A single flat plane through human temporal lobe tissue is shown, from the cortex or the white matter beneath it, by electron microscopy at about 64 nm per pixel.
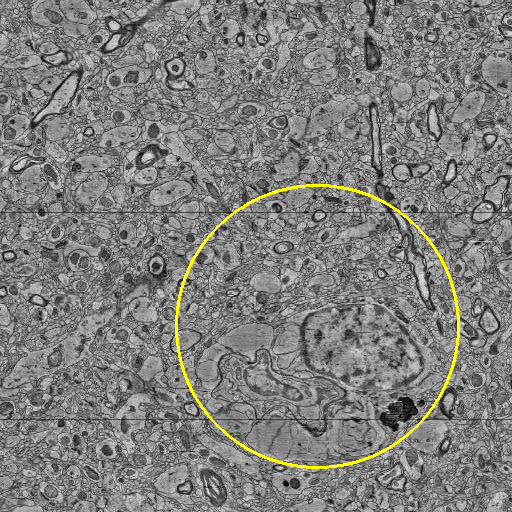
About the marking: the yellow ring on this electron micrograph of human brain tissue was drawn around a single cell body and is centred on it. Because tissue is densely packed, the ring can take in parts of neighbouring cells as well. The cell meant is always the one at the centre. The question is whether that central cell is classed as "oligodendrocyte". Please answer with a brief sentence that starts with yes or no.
No, the central cell belongs to another class.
